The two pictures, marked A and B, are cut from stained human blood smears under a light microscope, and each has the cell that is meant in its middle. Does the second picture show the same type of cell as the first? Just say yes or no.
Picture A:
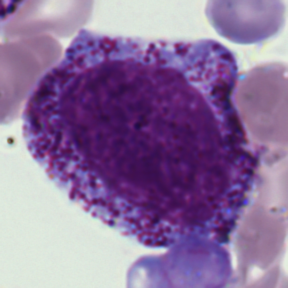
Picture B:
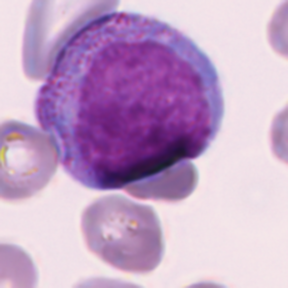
yes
